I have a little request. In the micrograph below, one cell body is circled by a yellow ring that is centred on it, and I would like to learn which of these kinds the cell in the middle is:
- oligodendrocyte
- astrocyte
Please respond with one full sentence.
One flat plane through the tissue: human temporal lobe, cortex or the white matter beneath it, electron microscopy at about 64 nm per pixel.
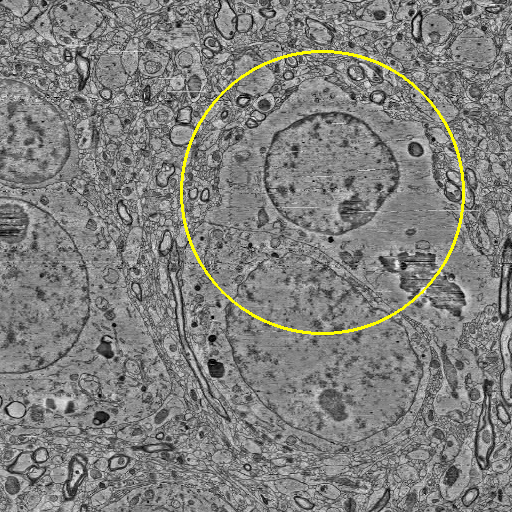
The cell sitting in the middle of the yellow ring in the micrograph is an astrocyte.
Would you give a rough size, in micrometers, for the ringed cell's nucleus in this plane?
About 8 micrometers across, in this plane.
